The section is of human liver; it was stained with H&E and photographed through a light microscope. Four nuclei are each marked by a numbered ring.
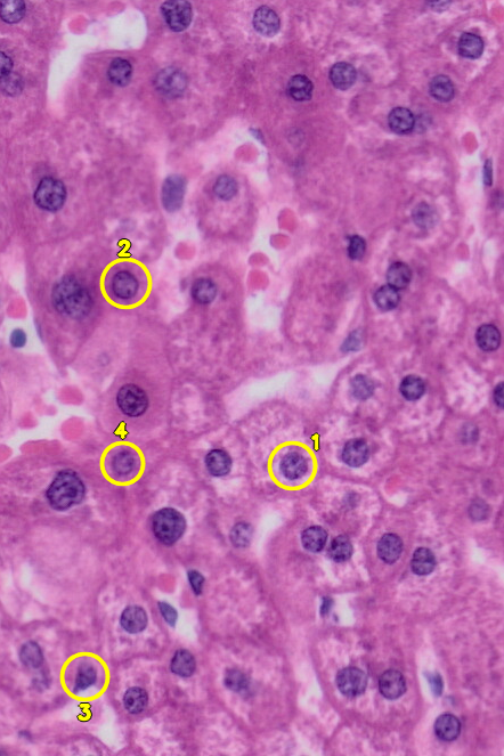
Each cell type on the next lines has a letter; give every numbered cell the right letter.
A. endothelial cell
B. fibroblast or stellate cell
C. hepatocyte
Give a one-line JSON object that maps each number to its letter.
{"1": "C", "2": "C", "3": "A", "4": "C"}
